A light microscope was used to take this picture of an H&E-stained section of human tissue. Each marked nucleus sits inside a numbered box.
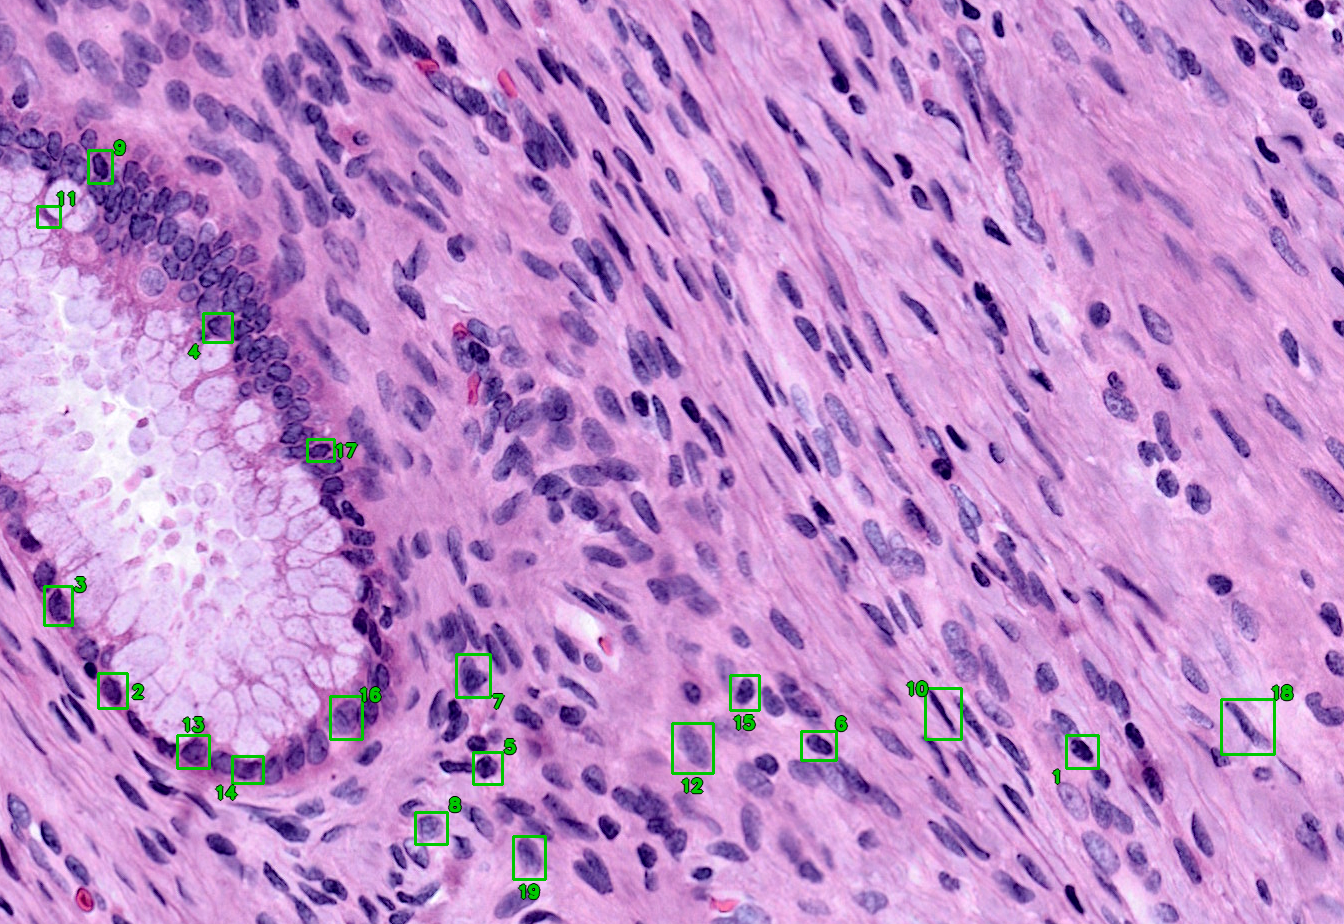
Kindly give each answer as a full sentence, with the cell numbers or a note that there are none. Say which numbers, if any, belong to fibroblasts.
The cells tagged with numbers 7, 10, 12, 18 and 19 are fibroblasts.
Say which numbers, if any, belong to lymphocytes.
Each of the cells numbered 1, 5, 6 and 15 is among the lymphocytes.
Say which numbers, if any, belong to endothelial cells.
No marked cell except number 8 is an endothelial cell.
